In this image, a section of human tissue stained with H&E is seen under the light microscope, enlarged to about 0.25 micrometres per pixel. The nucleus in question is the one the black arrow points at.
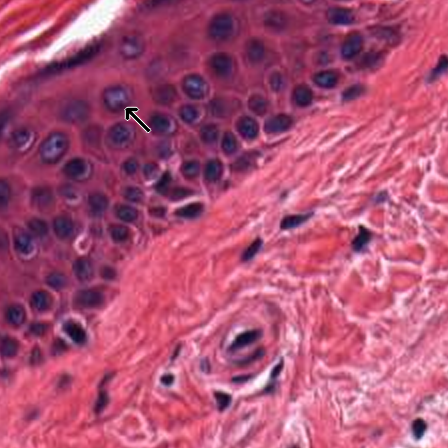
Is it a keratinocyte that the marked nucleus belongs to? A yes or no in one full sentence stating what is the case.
Yes, the cell containing the marked nucleus is a keratinocyte.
